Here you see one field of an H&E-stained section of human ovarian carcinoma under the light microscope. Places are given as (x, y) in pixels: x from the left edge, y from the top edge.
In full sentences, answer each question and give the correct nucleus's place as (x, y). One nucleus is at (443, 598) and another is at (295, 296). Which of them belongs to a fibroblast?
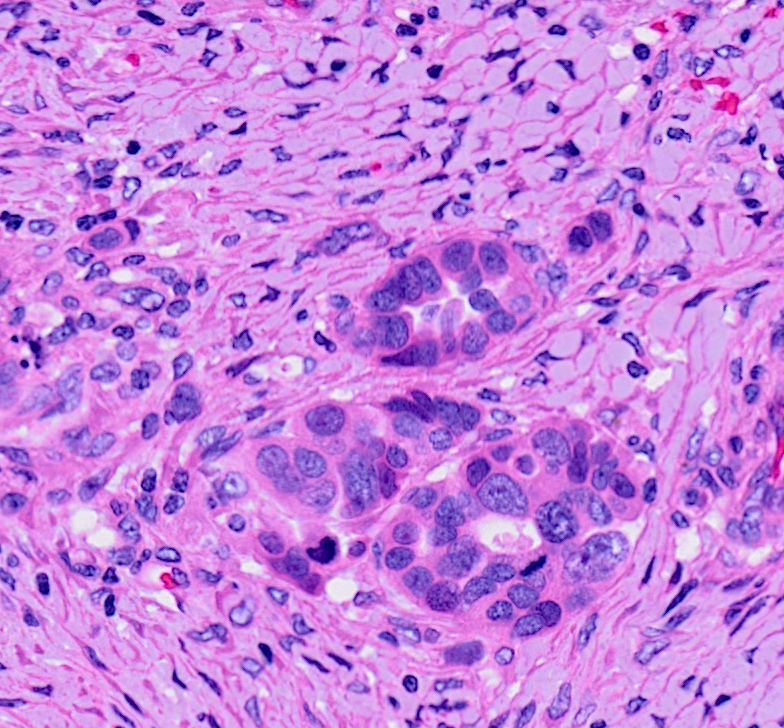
The pair contains one nucleus of a fibroblast, namely the one at (295, 296).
